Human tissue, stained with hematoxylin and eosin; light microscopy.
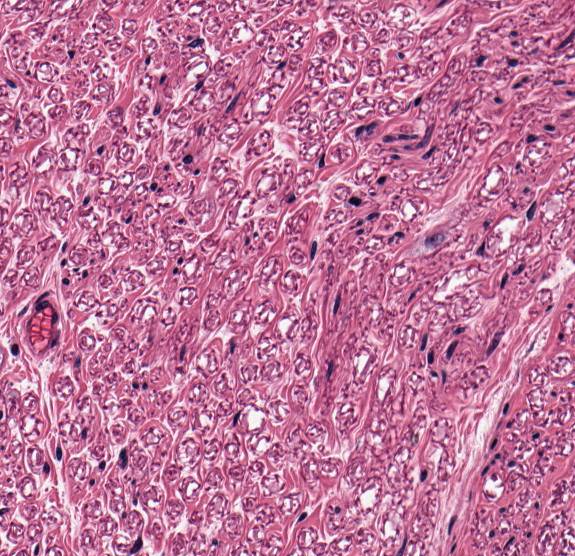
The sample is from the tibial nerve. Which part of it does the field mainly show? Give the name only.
nerve fascicle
